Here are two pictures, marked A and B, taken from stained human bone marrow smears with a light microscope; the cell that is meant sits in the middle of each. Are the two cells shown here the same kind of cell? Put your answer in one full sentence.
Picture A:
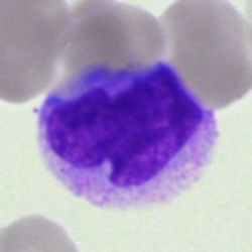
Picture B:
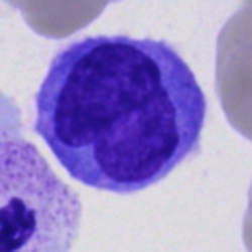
Yes; the cells in both pictures are monocytes.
